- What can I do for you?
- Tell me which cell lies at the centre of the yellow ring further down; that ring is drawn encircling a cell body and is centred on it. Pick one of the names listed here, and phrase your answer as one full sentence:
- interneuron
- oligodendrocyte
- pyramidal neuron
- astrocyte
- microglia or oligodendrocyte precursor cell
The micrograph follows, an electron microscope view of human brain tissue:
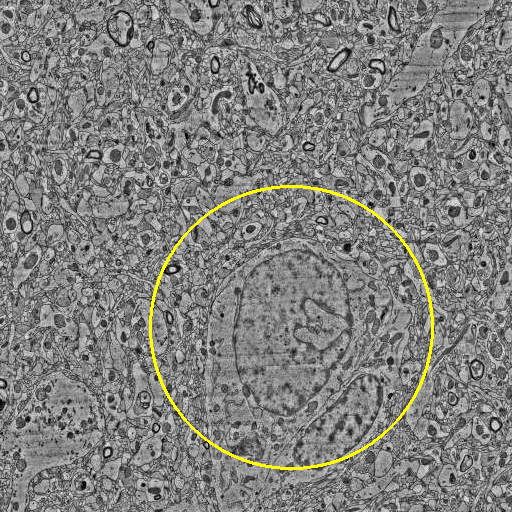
The cell whose body lies at the centre of the yellow ring is an interneuron.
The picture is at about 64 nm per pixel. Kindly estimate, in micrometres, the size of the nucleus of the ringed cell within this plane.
Roughly 11 by 8 micrometres in this plane, for the nucleus of the ringed cell.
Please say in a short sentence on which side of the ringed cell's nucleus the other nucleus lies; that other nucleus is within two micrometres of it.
The other nucleus is situated below it.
